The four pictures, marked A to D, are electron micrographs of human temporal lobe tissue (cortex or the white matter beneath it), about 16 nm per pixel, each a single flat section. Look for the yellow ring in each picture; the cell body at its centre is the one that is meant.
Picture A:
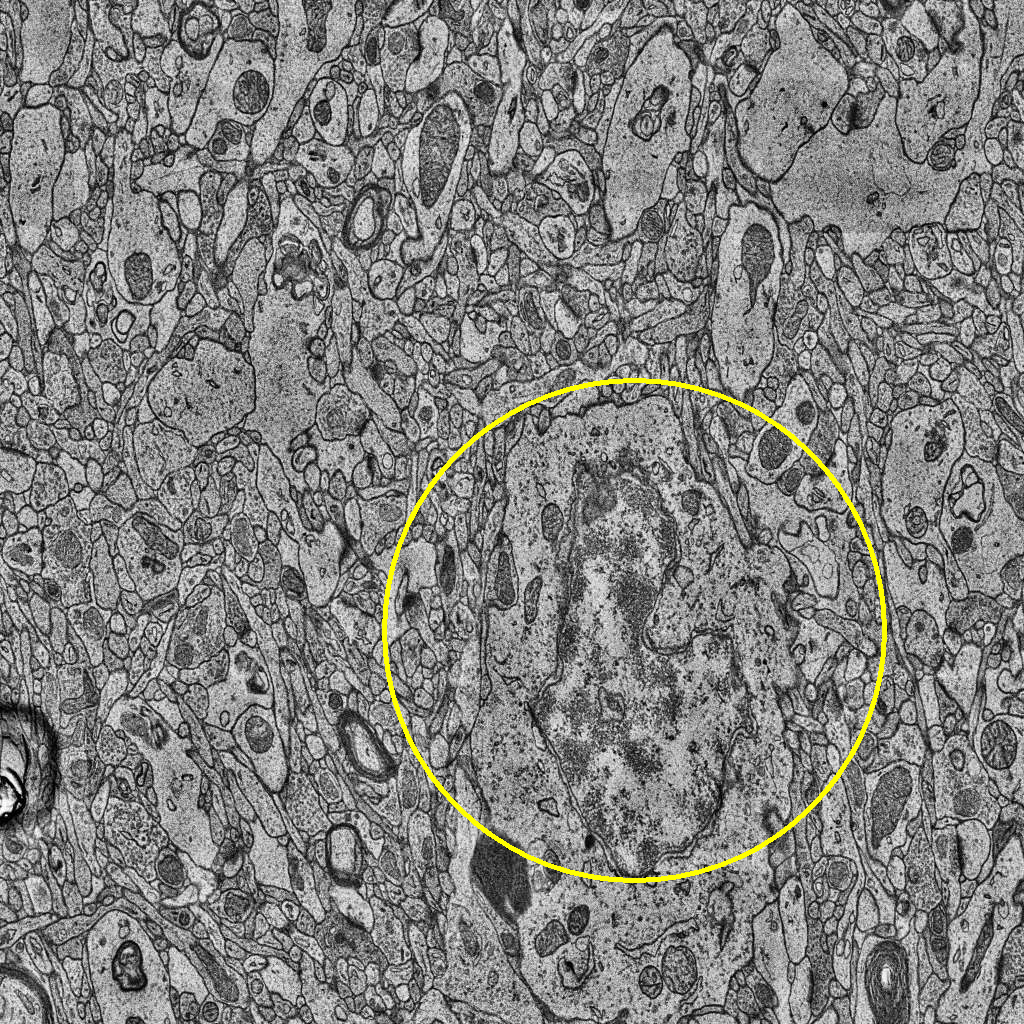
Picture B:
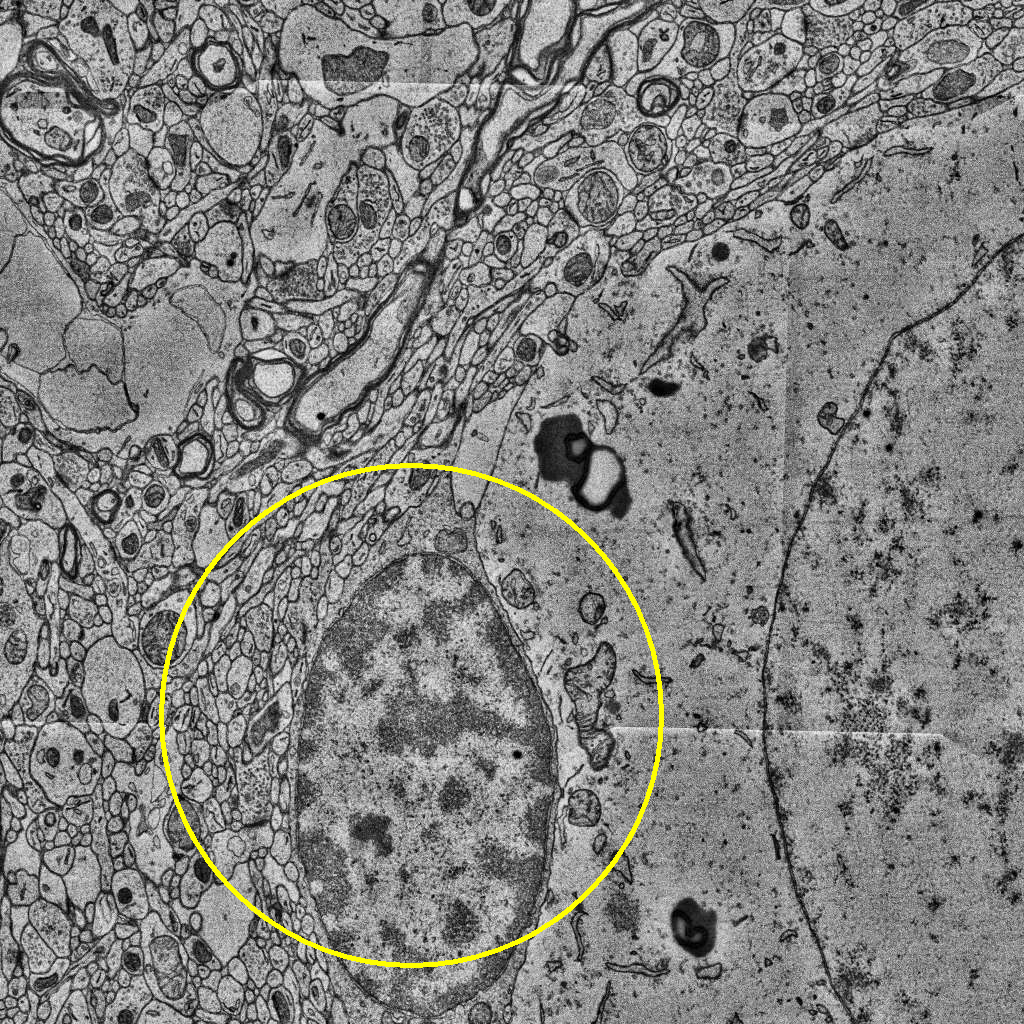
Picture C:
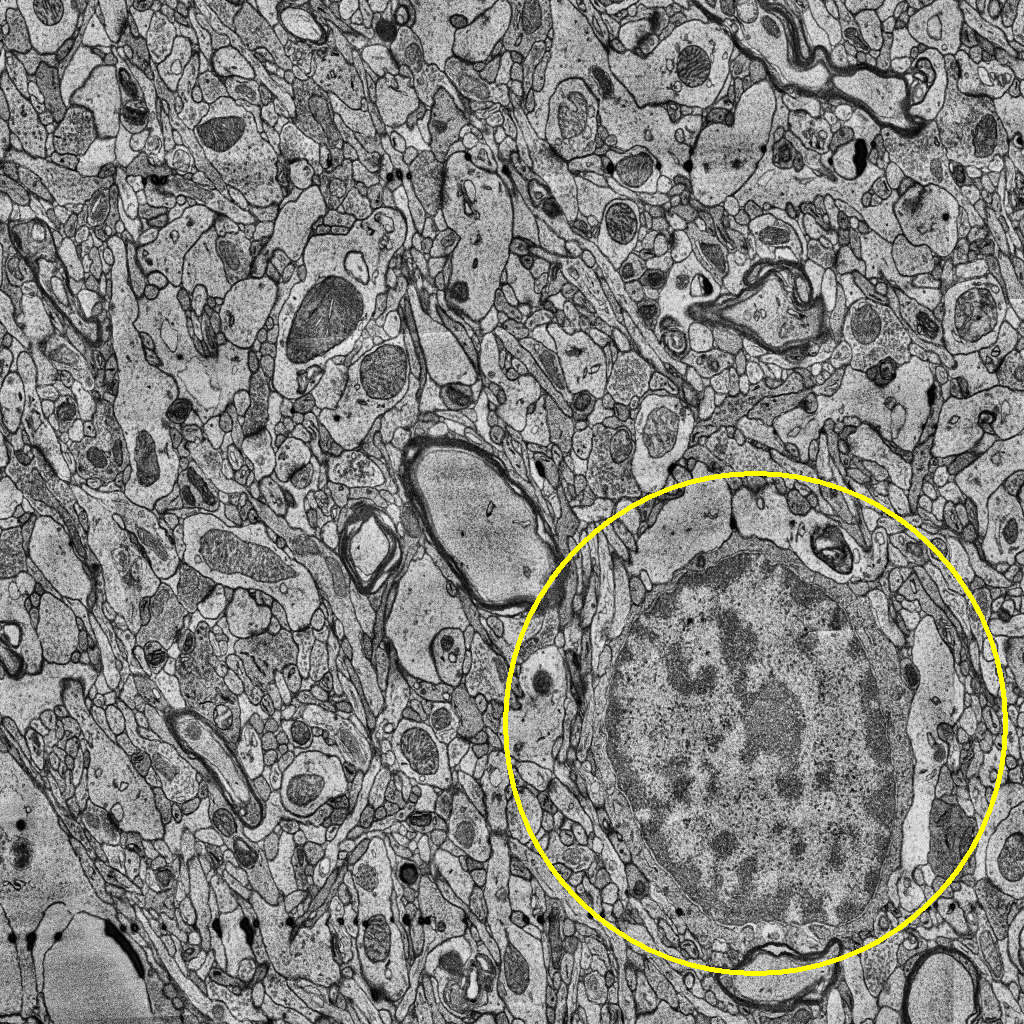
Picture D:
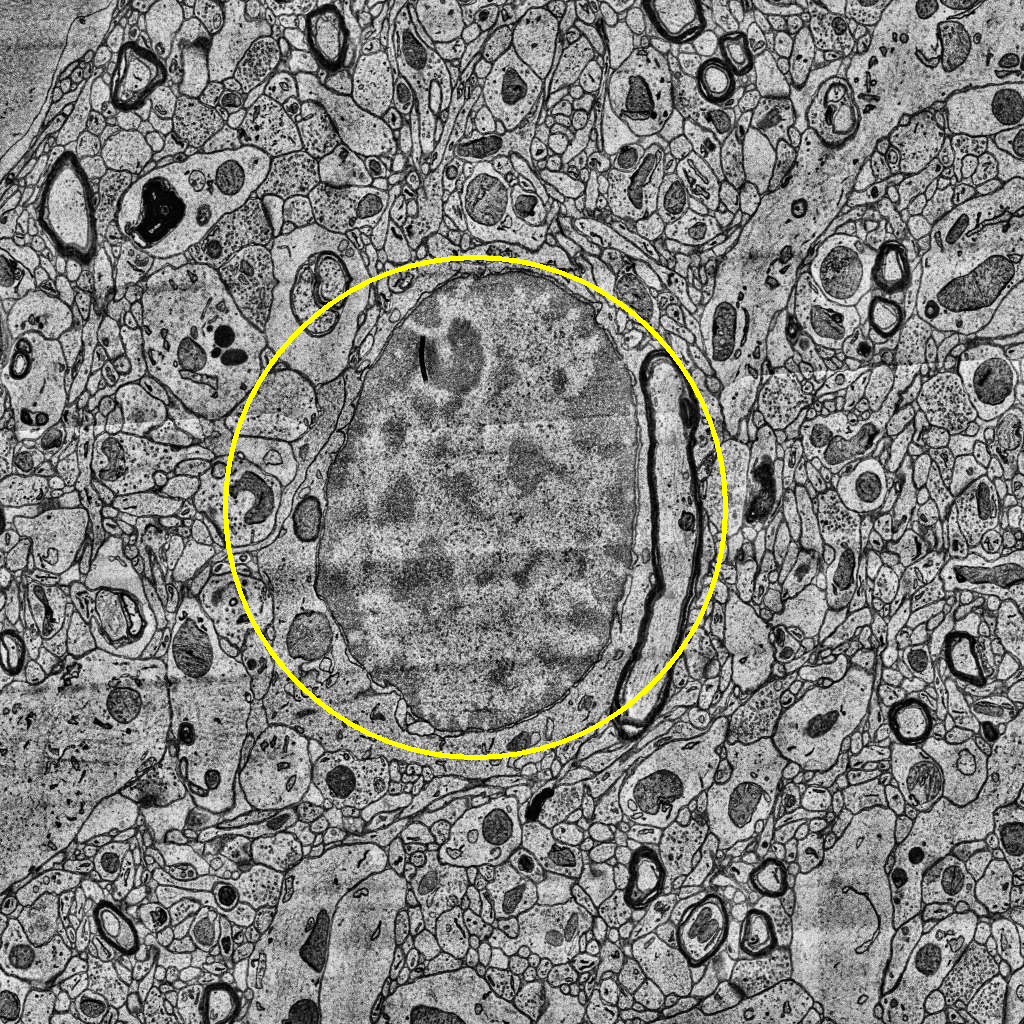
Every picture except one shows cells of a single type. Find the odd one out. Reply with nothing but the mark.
A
